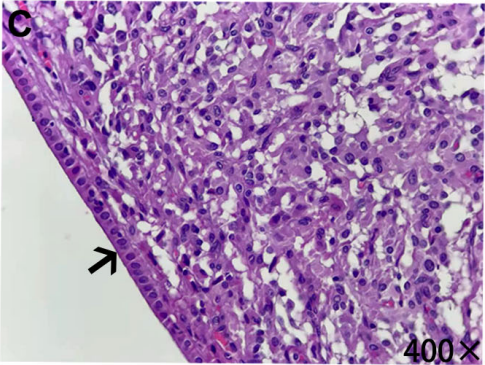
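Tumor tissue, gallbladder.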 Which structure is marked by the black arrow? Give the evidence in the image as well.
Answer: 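A single layer of tall cells lines the free surface. Nuclei of the lining cells are elongated and lie in one row. The lining sits directly on the underlying cellular tissue. On this evidence: simple columnar epithelium.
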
